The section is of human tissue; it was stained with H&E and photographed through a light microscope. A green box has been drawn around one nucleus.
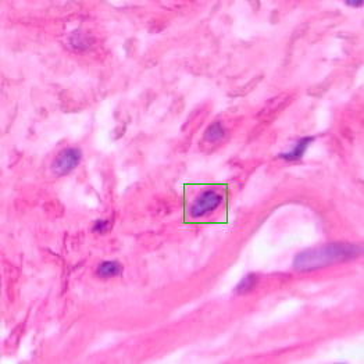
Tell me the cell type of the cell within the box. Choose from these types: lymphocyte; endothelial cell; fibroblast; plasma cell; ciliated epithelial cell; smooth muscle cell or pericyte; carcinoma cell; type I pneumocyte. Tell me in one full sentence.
So far as cell type goes, the cell within the box is a smooth muscle cell or pericyte.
